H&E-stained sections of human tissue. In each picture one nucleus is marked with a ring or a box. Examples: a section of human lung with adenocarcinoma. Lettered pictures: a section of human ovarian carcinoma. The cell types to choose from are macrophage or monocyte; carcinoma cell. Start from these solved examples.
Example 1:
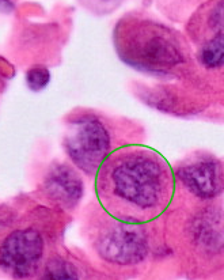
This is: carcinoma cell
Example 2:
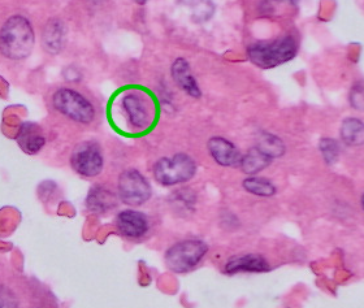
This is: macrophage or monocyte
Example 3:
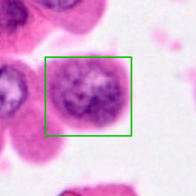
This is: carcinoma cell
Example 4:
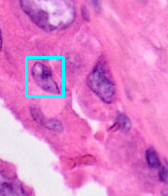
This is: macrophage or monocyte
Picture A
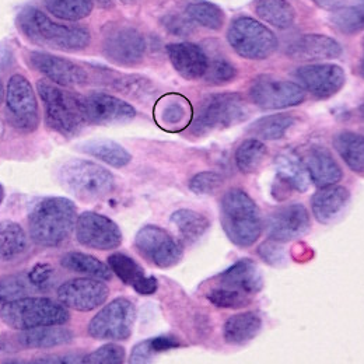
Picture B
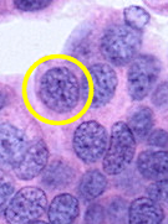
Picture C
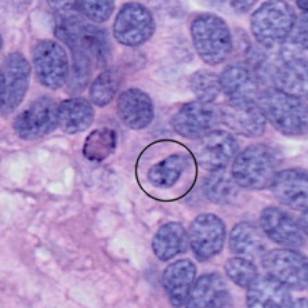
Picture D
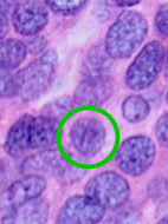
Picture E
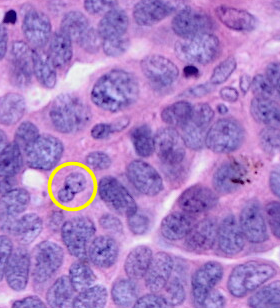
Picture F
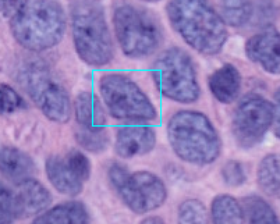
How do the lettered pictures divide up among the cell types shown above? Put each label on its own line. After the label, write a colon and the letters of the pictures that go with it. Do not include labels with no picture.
macrophage or monocyte: A, C, E
carcinoma cell: B, D, F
